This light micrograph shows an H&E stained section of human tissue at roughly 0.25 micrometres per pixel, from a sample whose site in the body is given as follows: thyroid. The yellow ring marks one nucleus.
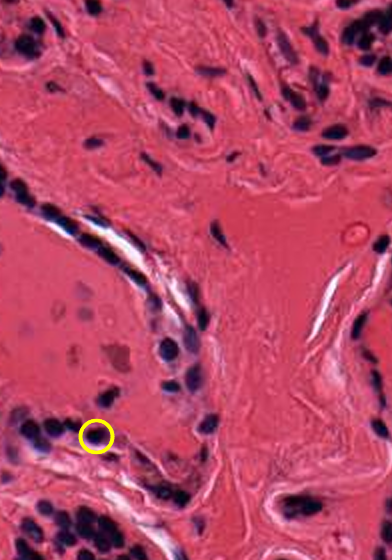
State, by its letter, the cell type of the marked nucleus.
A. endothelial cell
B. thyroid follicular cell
B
